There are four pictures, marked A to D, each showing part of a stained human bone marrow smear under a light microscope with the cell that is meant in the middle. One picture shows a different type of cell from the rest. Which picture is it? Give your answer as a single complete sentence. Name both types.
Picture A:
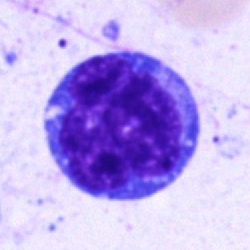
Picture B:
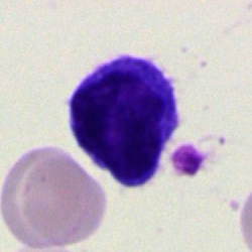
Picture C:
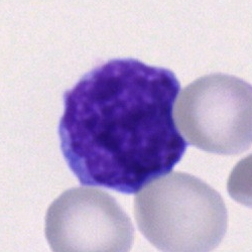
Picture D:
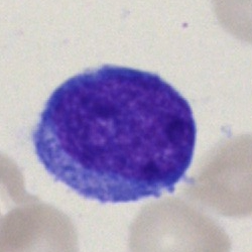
Picture B is the odd one out: it shows a lymphocyte, while the others show blasts.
